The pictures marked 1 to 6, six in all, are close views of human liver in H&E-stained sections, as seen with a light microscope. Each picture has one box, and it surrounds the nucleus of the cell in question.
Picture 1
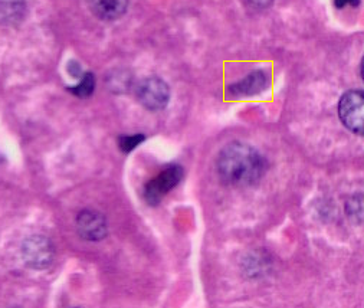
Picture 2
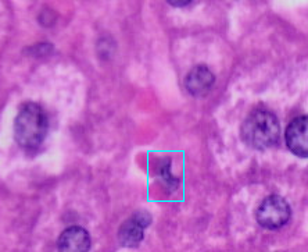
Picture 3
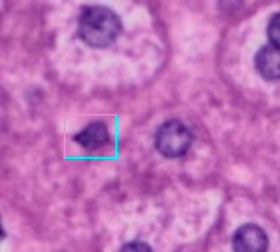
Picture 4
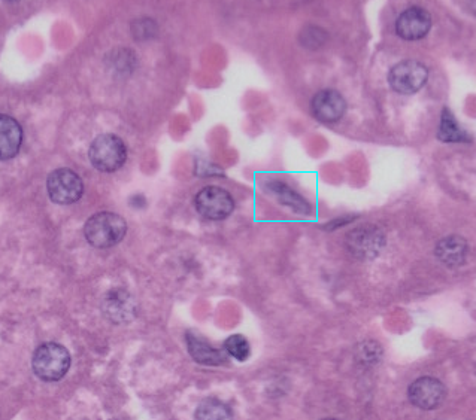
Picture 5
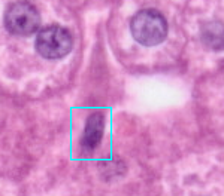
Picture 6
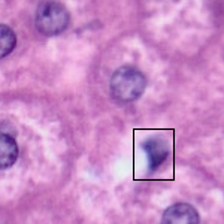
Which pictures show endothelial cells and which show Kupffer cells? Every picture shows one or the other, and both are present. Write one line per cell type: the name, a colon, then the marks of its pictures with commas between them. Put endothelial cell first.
endothelial cell: 2, 3, 6
Kupffer cell: 1, 4, 5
